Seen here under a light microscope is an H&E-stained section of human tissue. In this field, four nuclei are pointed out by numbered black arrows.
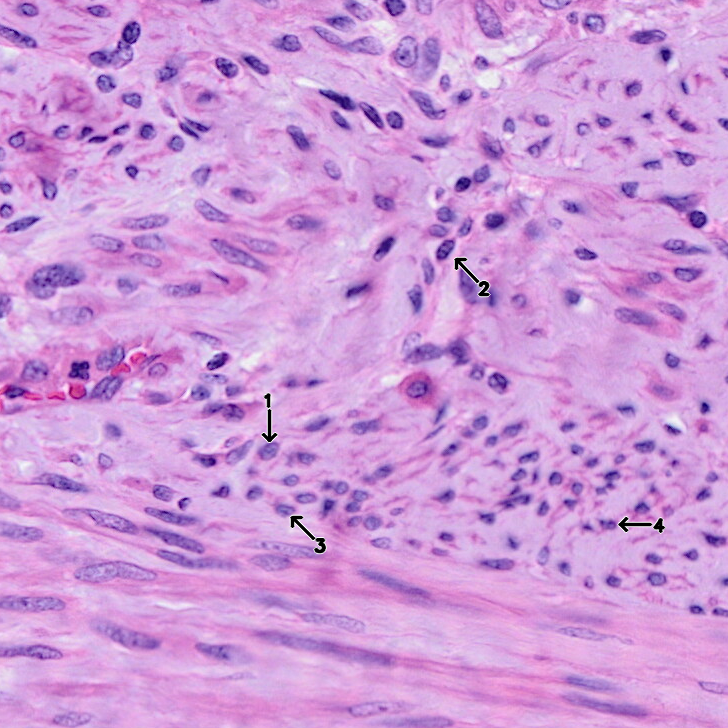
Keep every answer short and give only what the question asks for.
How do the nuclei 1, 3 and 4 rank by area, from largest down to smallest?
1, 3, 4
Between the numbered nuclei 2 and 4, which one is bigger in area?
2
